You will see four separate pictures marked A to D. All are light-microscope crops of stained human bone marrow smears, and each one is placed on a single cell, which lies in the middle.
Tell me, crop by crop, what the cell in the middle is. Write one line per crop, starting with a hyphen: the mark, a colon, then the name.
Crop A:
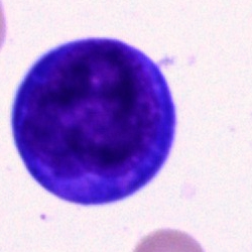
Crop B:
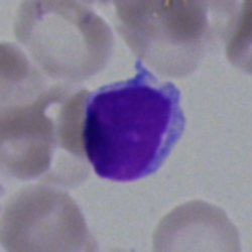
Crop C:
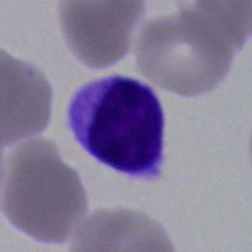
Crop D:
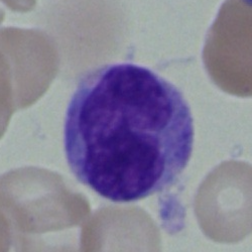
- A: proerythroblast
- B: lymphocyte
- C: lymphocyte
- D: monocyte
